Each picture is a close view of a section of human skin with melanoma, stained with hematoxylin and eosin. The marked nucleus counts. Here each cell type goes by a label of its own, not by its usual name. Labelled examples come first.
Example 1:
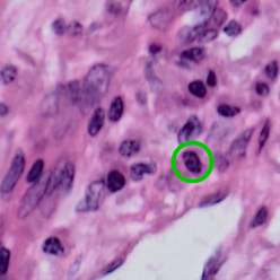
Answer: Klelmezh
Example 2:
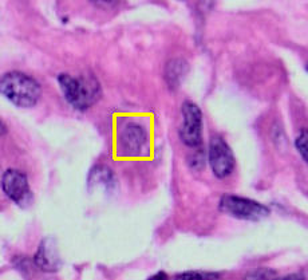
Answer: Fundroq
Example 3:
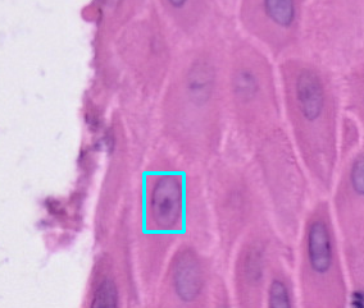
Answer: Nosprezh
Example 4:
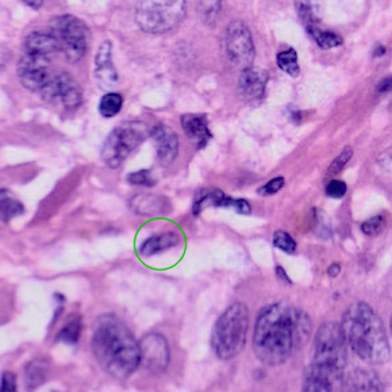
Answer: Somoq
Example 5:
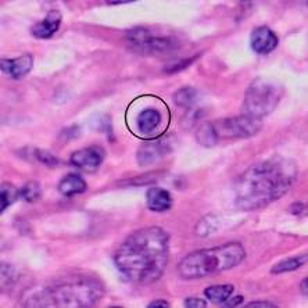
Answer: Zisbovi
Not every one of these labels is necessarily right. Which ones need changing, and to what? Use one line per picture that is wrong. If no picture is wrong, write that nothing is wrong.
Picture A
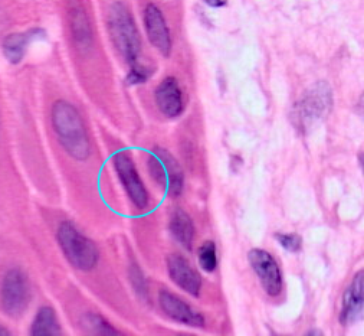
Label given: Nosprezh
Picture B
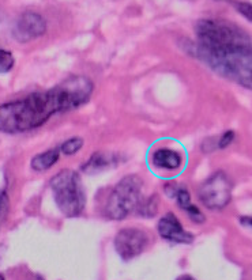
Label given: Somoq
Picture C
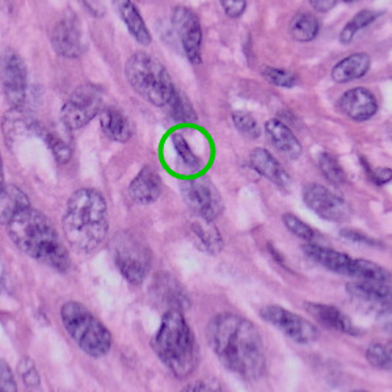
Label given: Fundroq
Wrong: B (Somoq); correct: Zisbovi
